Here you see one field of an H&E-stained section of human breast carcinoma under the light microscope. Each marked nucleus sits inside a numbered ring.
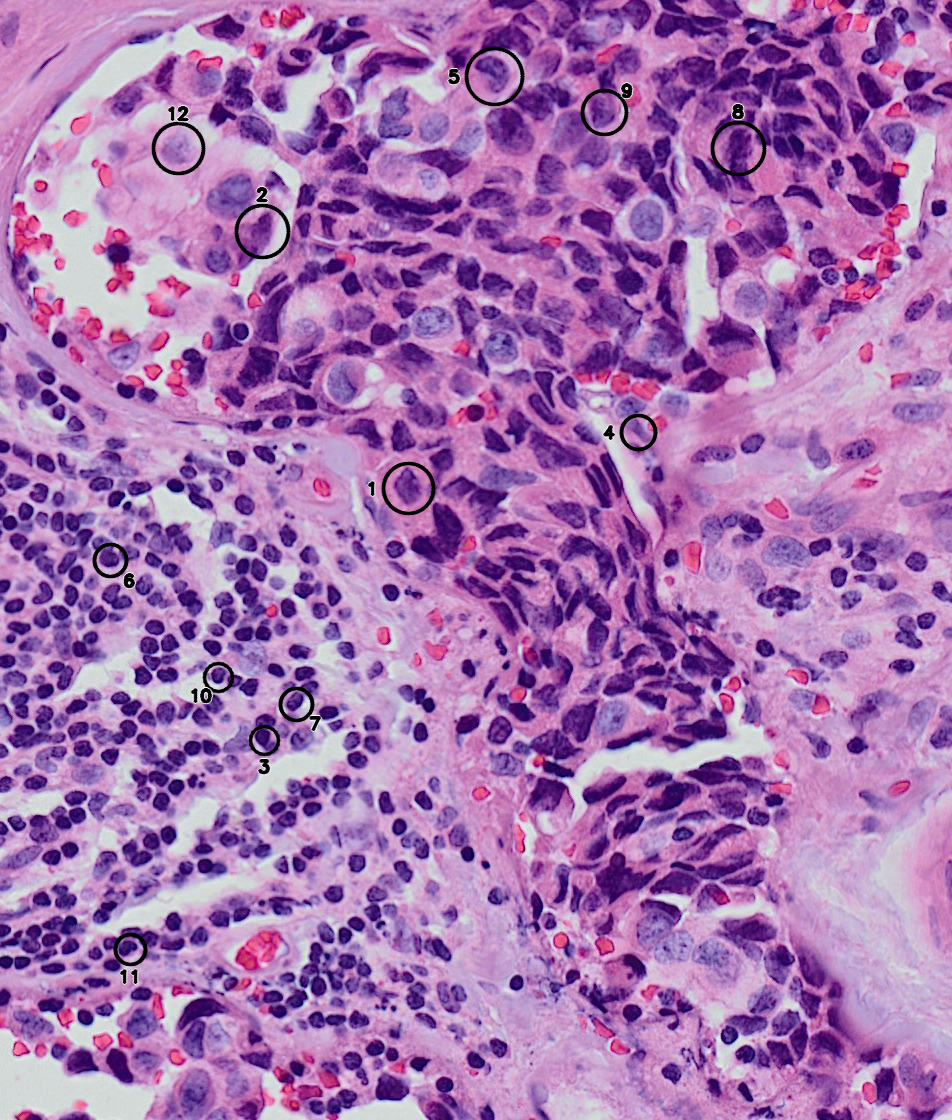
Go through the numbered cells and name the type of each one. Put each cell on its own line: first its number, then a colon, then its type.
1: carcinoma cell
2: carcinoma cell
3: lymphocyte
4: endothelial cell
5: carcinoma cell
6: lymphocyte
7: lymphocyte
8: carcinoma cell
9: carcinoma cell
10: lymphocyte
11: lymphocyte
12: carcinoma cell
